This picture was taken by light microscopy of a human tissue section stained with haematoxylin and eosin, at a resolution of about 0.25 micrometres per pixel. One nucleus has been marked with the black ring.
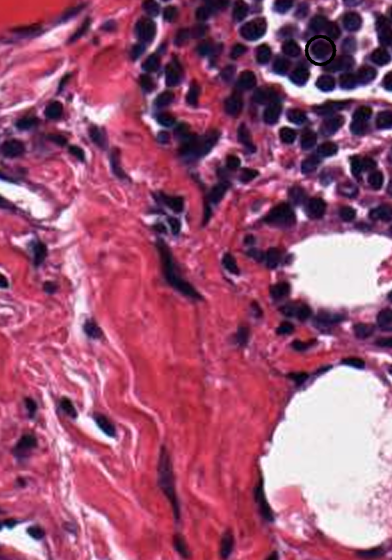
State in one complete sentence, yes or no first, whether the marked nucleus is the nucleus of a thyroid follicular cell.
No, the marked nucleus is not from a thyroid follicular cell; a supporting cell is its source.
